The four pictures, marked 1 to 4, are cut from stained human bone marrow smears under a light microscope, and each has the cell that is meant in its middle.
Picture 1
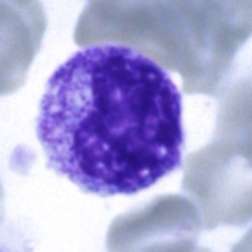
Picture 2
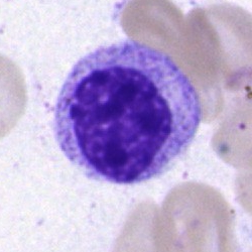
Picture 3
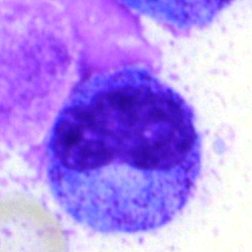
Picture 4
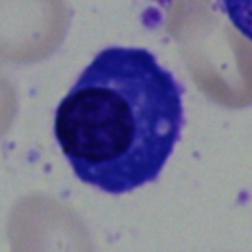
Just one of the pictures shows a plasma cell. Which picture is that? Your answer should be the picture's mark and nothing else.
4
